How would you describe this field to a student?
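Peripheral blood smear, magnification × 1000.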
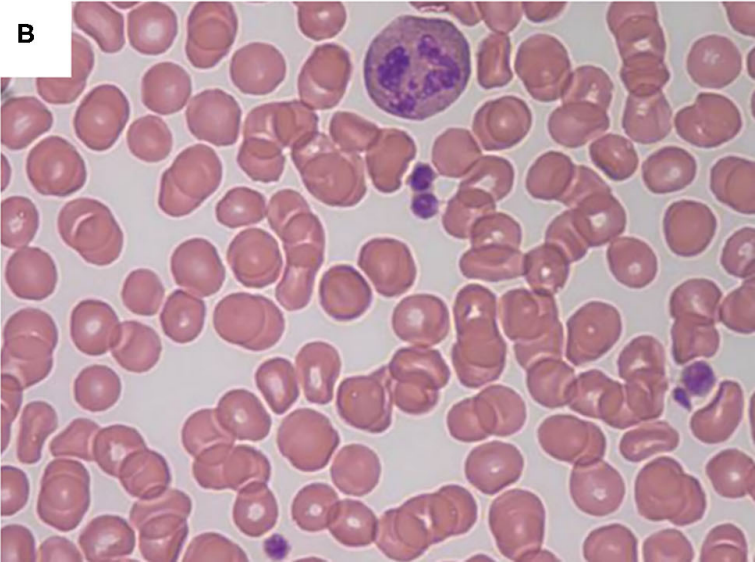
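Densely packed, deeper pink red cells crowd the field, many overlapping, with a white cell at the top that has a lobed purple nucleus and pale granular cytoplasm. Scattered between the red cells are small purple anucleate fragments, some somewhat enlarged but all smaller than the red cells.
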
